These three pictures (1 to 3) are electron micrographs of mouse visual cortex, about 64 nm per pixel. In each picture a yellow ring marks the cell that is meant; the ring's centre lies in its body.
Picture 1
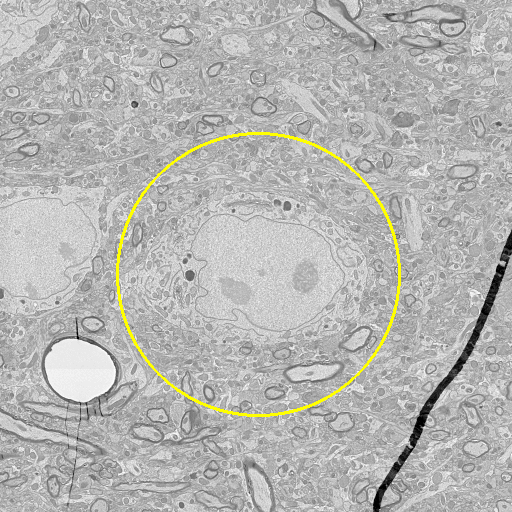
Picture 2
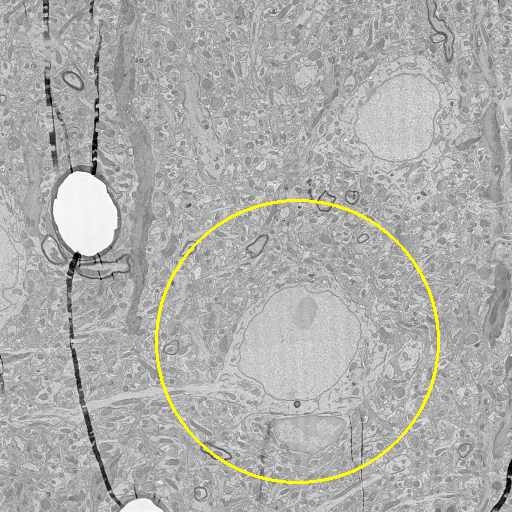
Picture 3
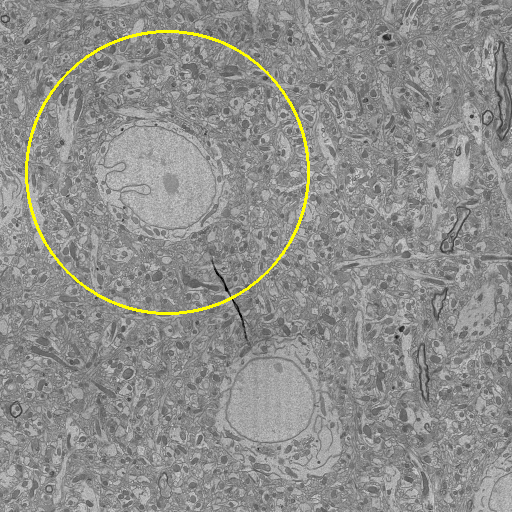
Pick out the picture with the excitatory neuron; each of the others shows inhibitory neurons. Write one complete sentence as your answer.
The cell in picture 2 is the excitatory neuron.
